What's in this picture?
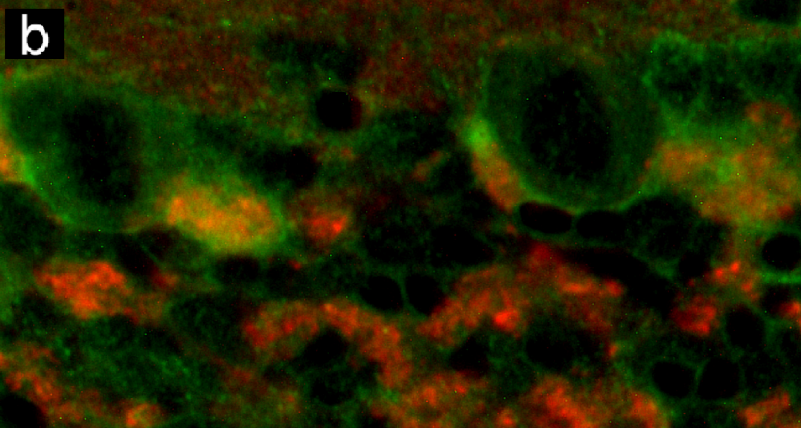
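Row of large Purkinje neuron bodies lying above the granular layer. Each body has broad, evenly green cytoplasm around a large, dark, rounded nucleus. Beneath the row lie many small, closely packed dark oval nuclei of granular layer cells. Patchy red and orange-yellow clumps lie mainly below the large bodies, some pressed against their lower side. Above the large bodies the field is a dimmer mixed green and red neuropil.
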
